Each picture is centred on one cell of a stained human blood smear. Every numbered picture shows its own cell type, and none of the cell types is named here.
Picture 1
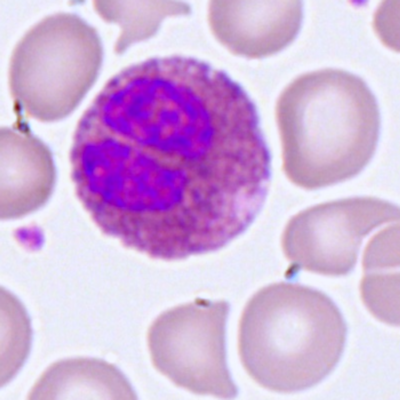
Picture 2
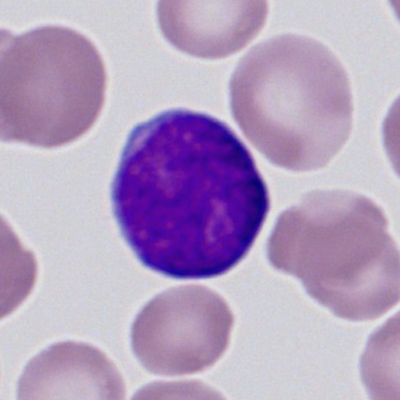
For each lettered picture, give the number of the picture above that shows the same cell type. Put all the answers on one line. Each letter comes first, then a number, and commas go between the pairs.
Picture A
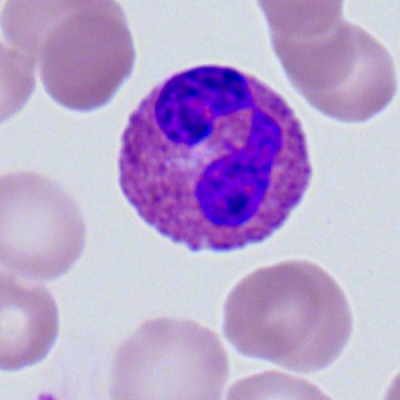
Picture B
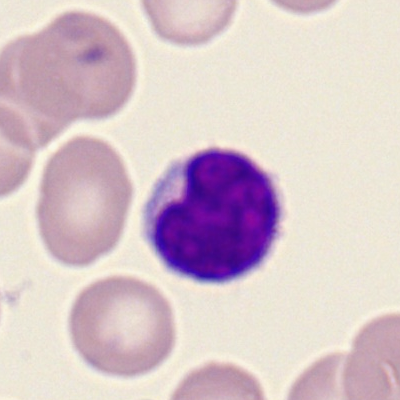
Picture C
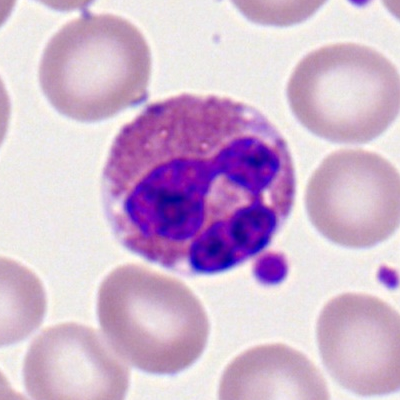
A 1, B 2, C 1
